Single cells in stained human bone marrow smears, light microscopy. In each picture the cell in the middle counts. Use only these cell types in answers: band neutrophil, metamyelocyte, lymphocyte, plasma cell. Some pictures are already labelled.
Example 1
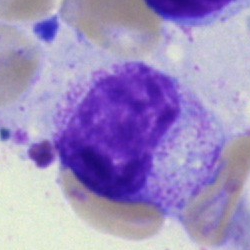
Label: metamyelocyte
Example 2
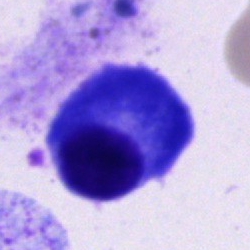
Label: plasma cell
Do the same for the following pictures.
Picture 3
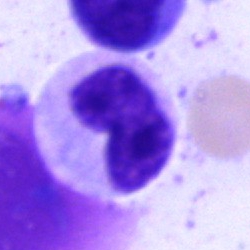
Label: metamyelocyte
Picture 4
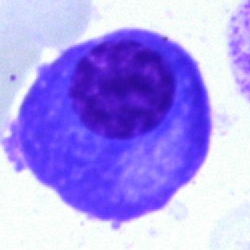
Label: plasma cell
